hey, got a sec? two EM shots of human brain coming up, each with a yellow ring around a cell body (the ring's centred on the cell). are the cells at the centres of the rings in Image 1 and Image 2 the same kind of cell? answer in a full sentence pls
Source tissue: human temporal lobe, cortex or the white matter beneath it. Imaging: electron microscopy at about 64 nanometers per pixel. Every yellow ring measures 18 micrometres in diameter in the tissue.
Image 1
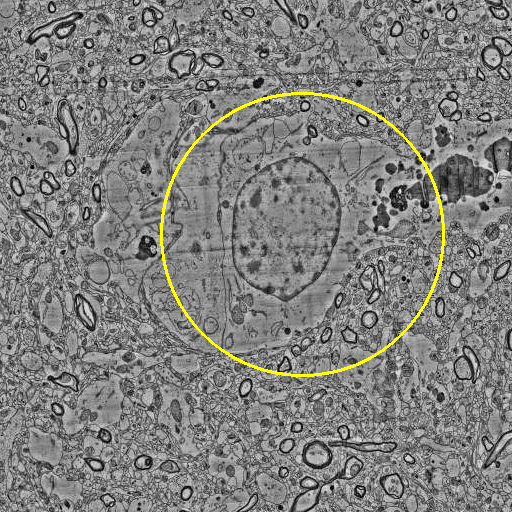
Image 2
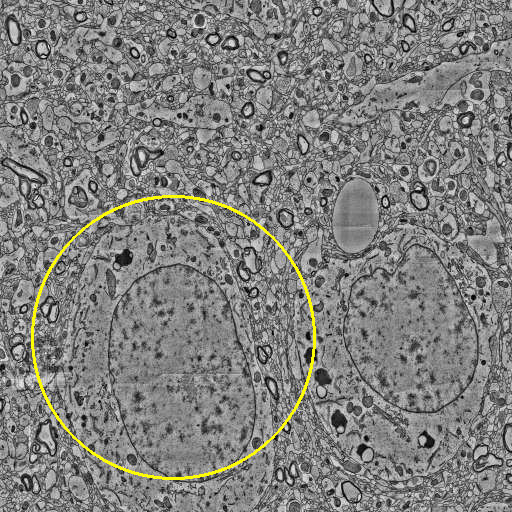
No, they are two kinds of cell.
